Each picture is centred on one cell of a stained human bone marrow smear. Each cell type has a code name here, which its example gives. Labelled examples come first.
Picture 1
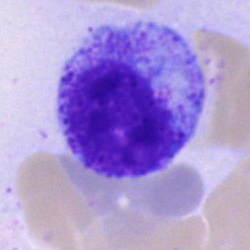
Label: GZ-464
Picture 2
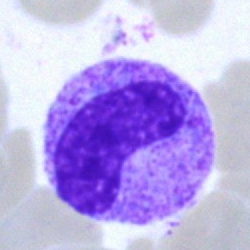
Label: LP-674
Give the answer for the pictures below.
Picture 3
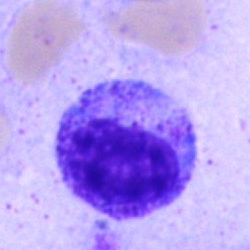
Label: GZ-464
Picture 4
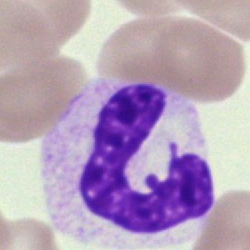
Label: LP-674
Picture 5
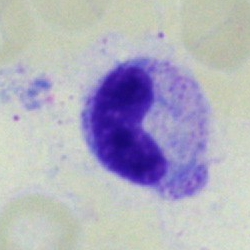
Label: LP-674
